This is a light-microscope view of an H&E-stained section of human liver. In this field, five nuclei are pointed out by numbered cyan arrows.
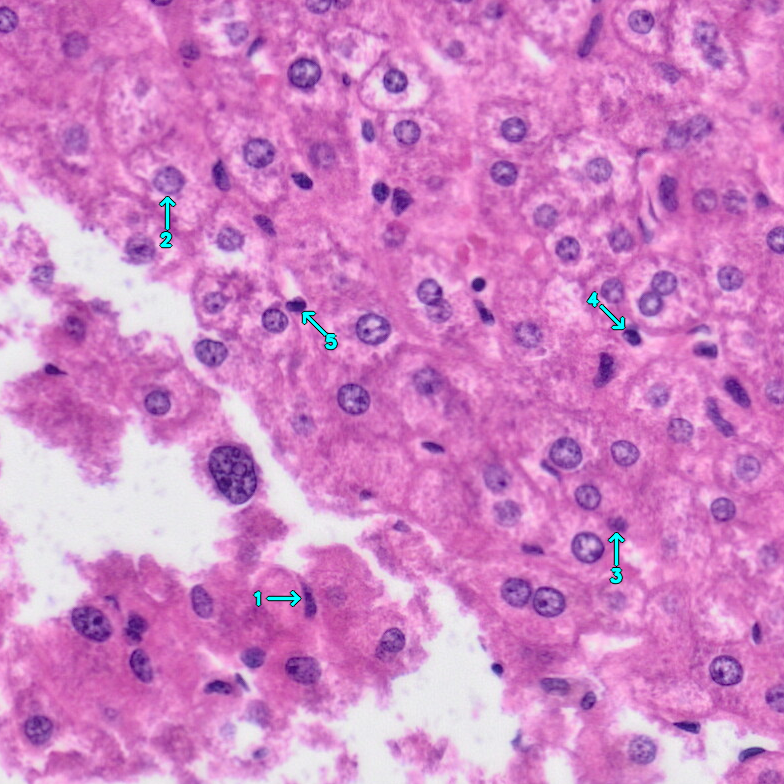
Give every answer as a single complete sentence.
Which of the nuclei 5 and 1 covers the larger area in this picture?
The larger nucleus is 1, at roughly 1.5 times the area of 5.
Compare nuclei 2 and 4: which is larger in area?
Of the two, number 2 is bigger and takes up about 2.5 times the area of number 4.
